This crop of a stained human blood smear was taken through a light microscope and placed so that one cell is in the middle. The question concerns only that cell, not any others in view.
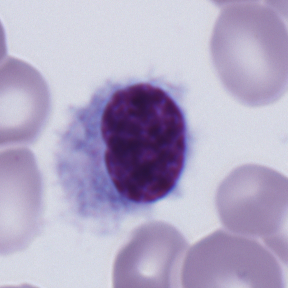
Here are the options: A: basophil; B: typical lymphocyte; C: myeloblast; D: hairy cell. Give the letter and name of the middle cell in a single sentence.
Option D is correct in that the central cell is a hairy cell.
